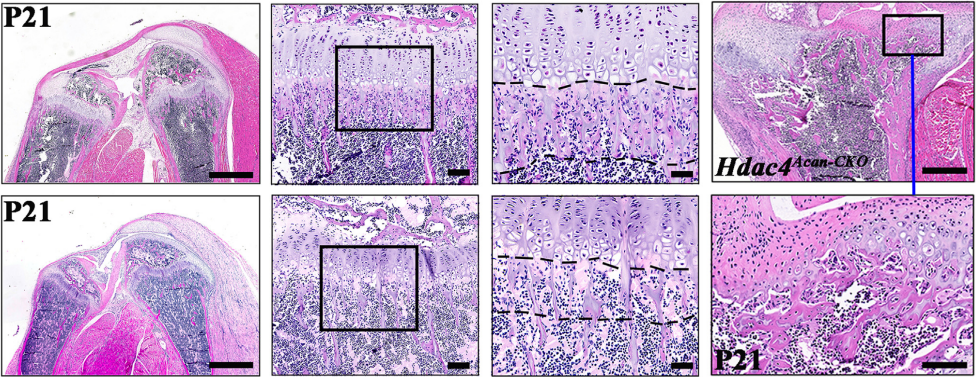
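These longitudinal sections through the knee show the epiphysis, growth plate and metaphysis of the long bones, stained pink and purple. In the left-hand images a band of cartilage crosses the bone end, and at higher magnification it consists of large, pale, rounded chondrocytes stacked in columns within a lightly purple matrix. Beneath the cartilage band, marrow spaces packed with small dark-nucleated cells lie between pink trabeculae. The surrounding soft tissue and muscle stain strongly pink.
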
